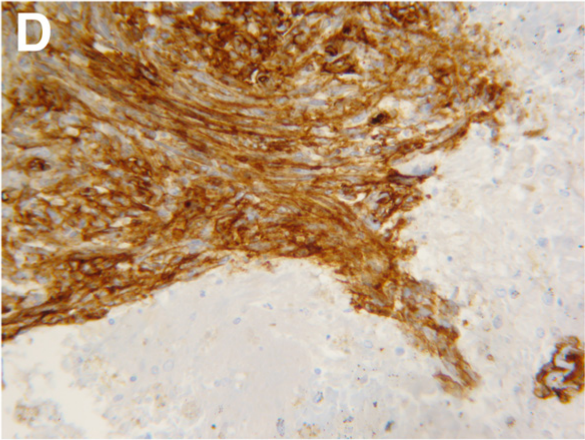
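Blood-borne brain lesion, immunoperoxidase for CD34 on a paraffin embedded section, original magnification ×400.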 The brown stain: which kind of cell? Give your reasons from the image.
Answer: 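Neoplastic cells. A dense mass of elongated cells is strongly brown. The brown lies in the cytoplasm around blue-grey nuclei. The surrounding pale tissue is largely unstained.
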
